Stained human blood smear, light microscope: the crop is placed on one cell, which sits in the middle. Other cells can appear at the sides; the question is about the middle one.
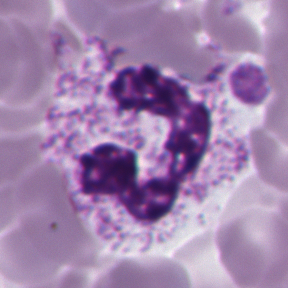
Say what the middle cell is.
segmented neutrophil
